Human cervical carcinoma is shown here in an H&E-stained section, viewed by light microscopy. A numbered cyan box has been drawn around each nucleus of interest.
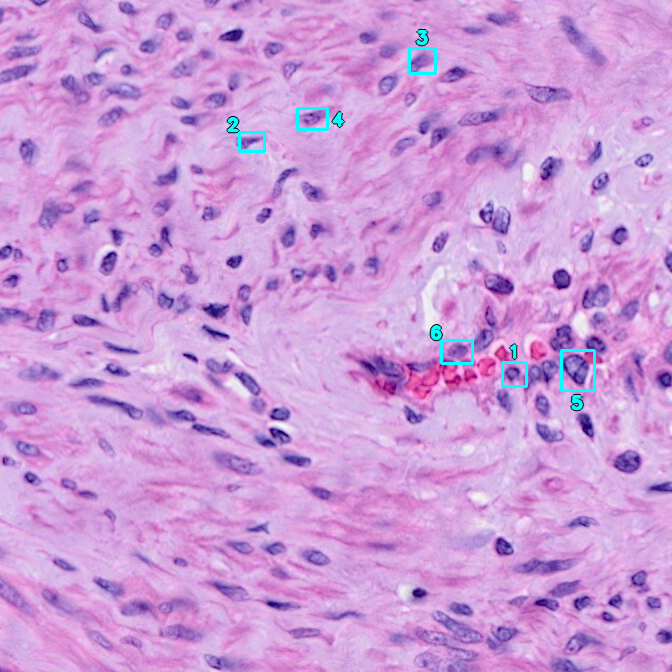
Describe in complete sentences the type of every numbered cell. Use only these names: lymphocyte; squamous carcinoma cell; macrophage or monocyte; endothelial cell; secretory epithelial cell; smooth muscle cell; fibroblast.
Cells 1, 5 and 6 are endothelial cells. Cell 2 is a fibroblast. Cells 3 and 4 are smooth muscle cells.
